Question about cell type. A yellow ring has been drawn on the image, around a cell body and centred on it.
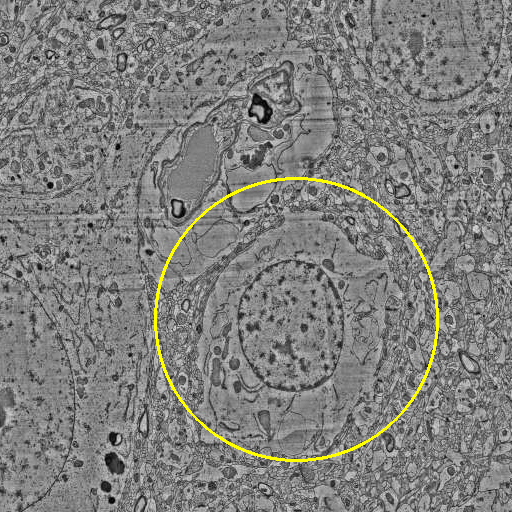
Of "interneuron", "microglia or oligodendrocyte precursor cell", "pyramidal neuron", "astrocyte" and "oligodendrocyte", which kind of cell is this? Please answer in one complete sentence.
At the centre of the ring lies an astrocyte.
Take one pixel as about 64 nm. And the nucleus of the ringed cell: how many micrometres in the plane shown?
About 8 by 7 micrometers for the nucleus, in this plane.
